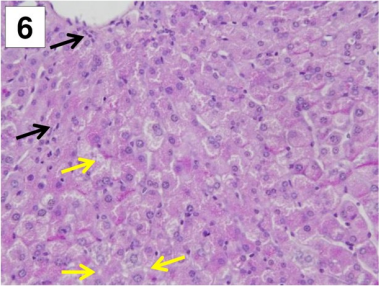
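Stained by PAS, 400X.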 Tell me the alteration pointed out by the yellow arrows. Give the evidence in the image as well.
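The yellow arrows point to hepatocytes with pale, finely vacuolated cytoplasm. The surrounding hepatocytes stain more evenly pink-magenta.
Microvacuolization of hepatocytes.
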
